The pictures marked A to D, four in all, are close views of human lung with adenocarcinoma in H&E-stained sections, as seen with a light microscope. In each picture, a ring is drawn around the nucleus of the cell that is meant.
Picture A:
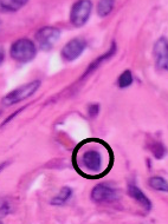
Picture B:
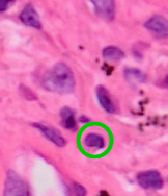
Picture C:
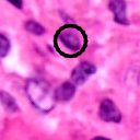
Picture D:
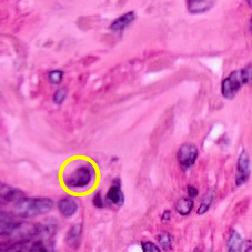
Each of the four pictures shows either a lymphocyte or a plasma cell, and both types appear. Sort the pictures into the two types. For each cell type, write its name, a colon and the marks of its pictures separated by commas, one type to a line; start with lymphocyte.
lymphocyte: B
plasma cell: A, C, D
